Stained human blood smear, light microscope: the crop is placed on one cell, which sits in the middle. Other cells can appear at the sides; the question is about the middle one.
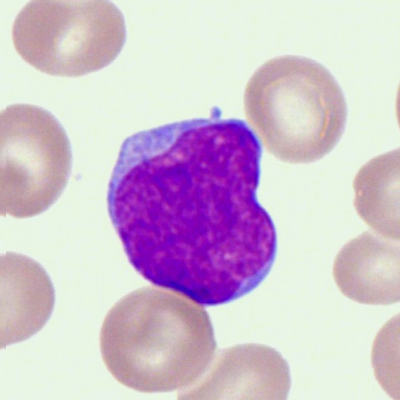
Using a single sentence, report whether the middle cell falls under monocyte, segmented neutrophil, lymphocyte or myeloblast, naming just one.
The crop's centre is taken up by a myeloblast.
